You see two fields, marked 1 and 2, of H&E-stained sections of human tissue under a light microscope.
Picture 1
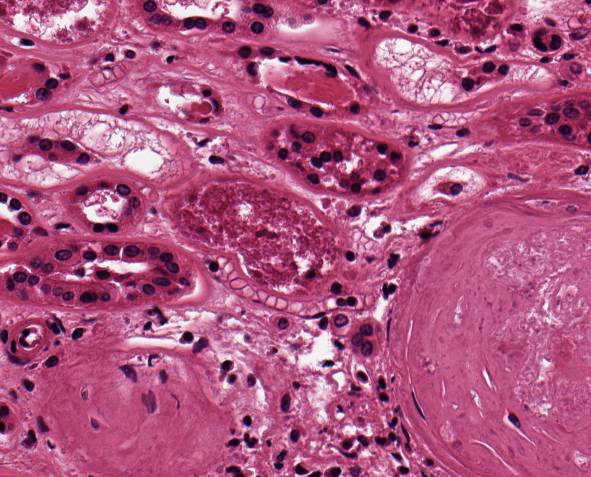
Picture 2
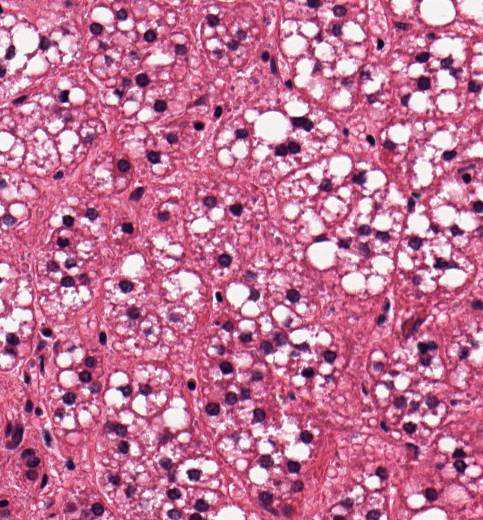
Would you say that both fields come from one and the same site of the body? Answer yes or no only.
no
